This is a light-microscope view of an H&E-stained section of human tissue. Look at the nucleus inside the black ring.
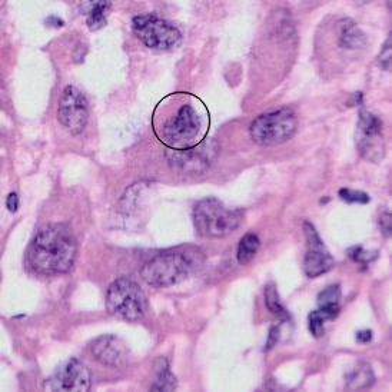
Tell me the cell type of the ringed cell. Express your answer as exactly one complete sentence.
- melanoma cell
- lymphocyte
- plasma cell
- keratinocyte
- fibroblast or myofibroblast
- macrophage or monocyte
The identity of the ringed cell: it is a melanoma cell.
